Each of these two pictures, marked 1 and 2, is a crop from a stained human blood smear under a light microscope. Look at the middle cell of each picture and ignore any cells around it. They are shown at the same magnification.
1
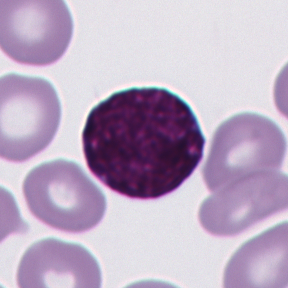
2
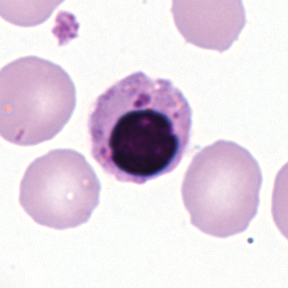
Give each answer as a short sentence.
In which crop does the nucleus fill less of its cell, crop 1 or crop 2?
It is the cell in crop 2 that is filled less by its nucleus.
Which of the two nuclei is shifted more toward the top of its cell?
In crop 1 the nucleus is shifted more toward the top.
